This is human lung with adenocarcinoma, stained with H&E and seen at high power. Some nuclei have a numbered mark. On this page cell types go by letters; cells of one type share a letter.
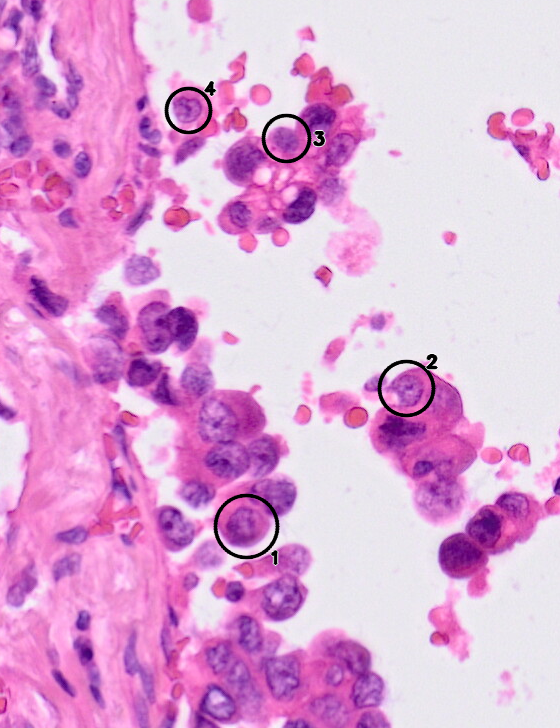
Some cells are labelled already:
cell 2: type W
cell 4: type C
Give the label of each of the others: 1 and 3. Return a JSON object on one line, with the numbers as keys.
{"1": "type W", "3": "type W"}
